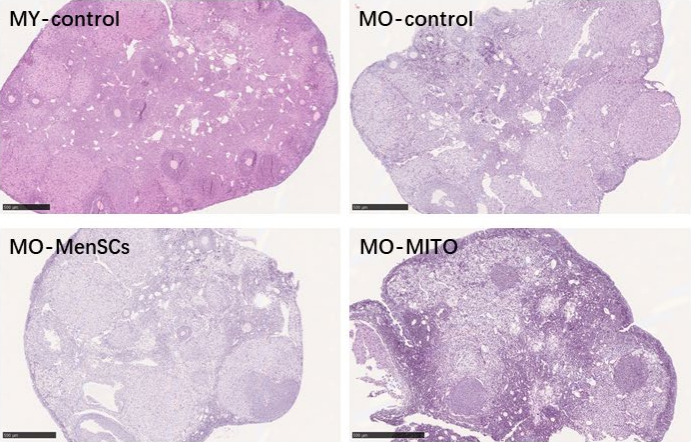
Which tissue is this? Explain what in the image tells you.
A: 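Rounded organ sections with a cortex containing many round follicle-like structures of varying size. Some larger rounded structures have a central cavity. The answer: ovary.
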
